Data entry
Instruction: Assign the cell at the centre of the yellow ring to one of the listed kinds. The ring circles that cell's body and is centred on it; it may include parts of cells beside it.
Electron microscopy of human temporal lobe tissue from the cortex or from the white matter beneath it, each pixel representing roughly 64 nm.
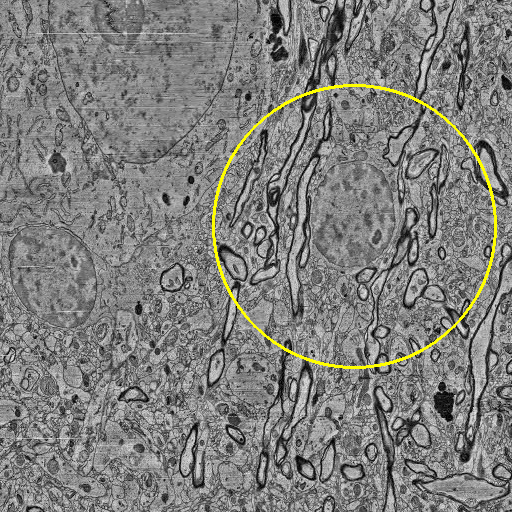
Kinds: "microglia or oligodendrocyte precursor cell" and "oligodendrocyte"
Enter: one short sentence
The centre of the ring falls on an oligodendrocyte.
